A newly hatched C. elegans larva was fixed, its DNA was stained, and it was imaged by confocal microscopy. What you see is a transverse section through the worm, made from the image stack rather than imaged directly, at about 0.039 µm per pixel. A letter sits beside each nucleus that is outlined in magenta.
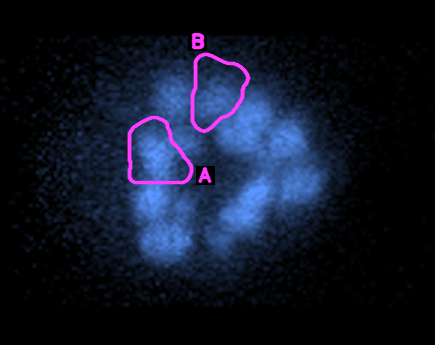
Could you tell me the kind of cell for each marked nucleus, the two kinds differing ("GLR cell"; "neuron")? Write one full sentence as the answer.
B belongs to a neuron, and A to a GLR cell.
